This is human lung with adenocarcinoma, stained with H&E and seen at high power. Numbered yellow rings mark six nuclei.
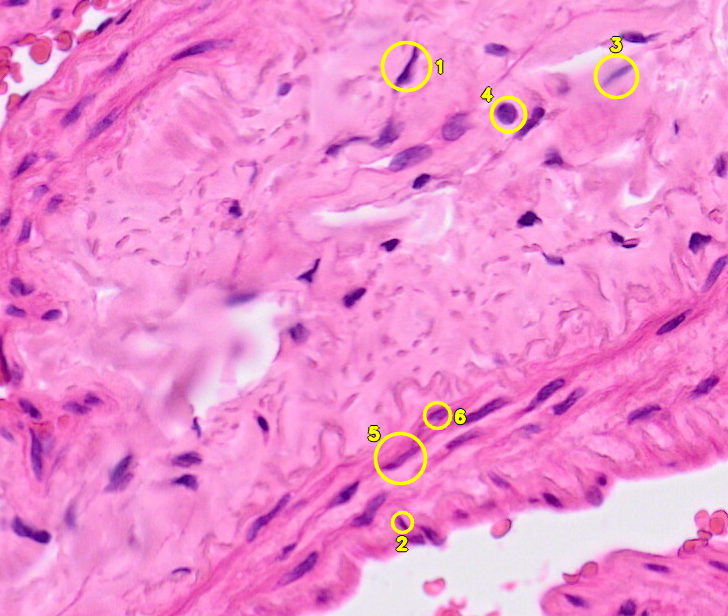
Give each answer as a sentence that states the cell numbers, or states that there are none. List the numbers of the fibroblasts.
Identification: the cells with numbers 1 and 3 are fibroblasts.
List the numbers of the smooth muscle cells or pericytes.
The cells with labels 2, 5 and 6 are smooth muscle cells or pericytes.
